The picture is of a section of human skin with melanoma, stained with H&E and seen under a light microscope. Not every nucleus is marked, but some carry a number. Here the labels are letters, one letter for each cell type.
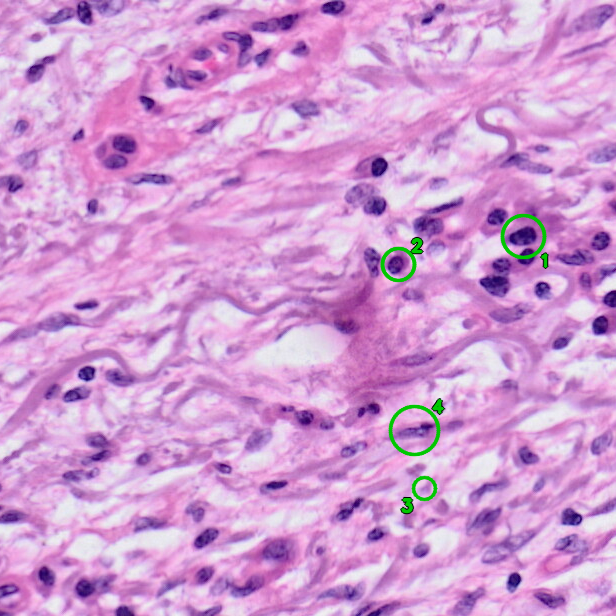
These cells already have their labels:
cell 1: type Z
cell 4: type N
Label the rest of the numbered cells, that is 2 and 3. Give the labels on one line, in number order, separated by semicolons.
type Z; type N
